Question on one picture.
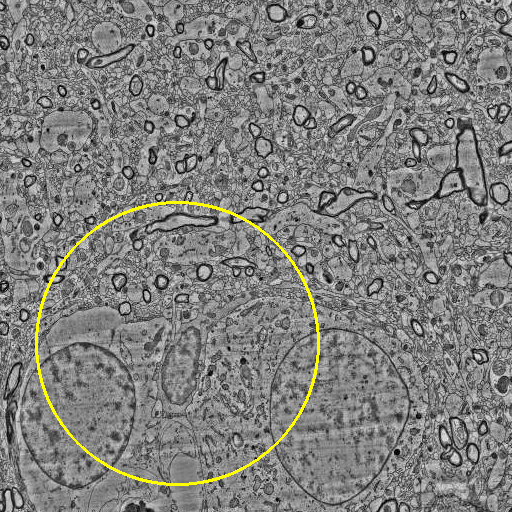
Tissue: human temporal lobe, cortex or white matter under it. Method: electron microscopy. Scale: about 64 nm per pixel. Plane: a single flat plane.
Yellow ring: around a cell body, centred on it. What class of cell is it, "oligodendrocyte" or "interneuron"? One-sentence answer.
This is an oligodendrocyte, the cell the ring is centred on.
